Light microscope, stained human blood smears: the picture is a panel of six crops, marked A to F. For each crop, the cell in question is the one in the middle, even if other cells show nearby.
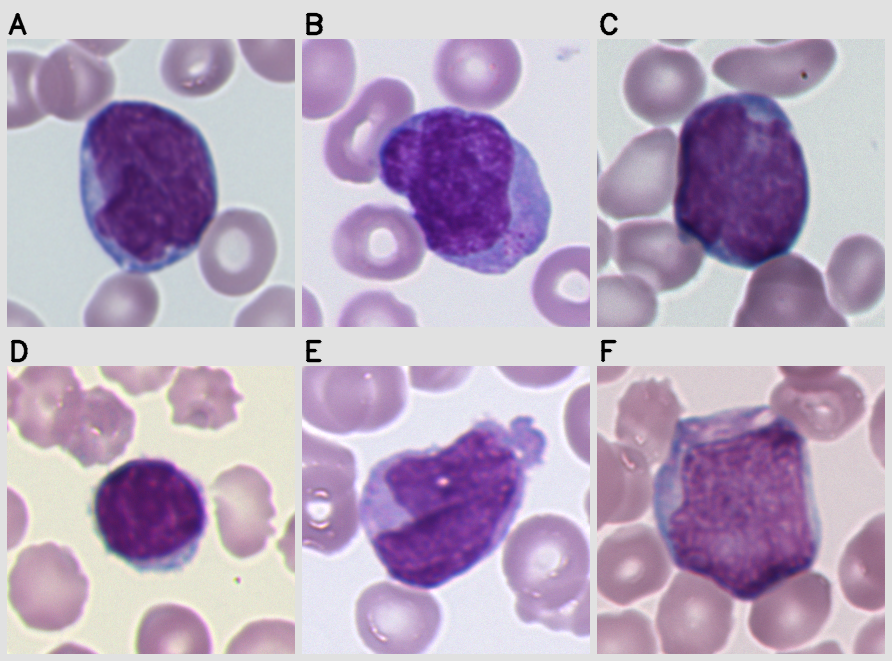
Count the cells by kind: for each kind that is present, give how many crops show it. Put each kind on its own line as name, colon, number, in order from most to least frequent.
atypical promyelocyte: 3
myeloblast: 2
typical lymphocyte: 1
